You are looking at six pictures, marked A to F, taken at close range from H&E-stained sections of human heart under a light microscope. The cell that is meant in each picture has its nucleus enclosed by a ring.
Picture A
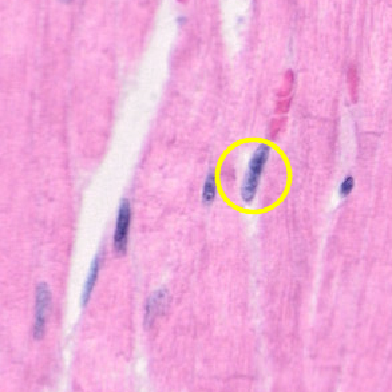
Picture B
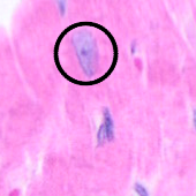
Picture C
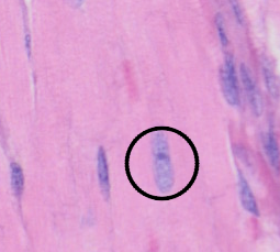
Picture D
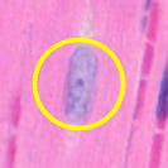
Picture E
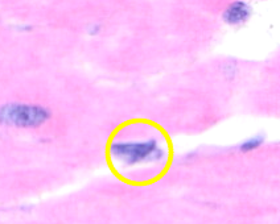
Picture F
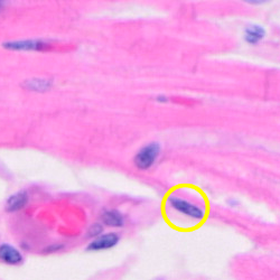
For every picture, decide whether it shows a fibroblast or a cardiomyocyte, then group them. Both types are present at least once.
A: fibroblast
B: cardiomyocyte
C: cardiomyocyte
D: cardiomyocyte
E: fibroblast
F: fibroblast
